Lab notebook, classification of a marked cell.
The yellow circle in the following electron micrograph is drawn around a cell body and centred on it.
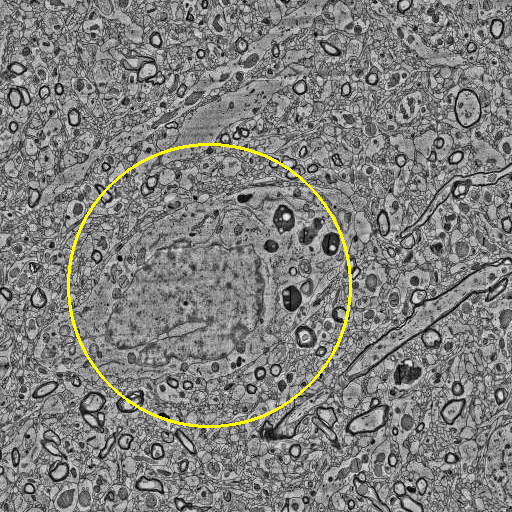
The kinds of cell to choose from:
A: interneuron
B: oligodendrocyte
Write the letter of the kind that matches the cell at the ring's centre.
A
